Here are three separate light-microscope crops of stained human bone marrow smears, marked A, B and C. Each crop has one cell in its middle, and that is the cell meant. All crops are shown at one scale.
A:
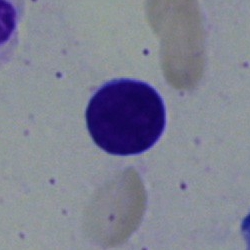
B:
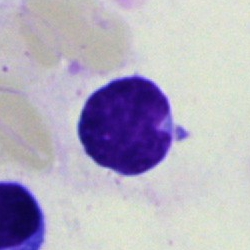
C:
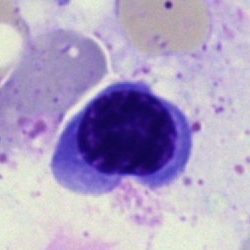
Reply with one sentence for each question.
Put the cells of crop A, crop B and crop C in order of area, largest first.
The order is C, B, A, beginning with the largest.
